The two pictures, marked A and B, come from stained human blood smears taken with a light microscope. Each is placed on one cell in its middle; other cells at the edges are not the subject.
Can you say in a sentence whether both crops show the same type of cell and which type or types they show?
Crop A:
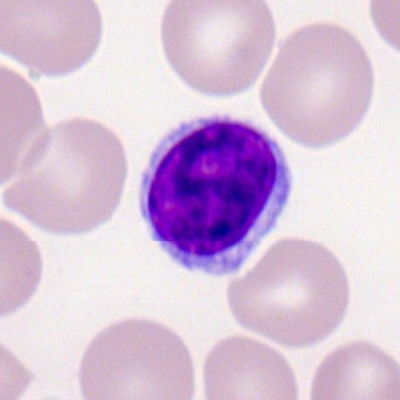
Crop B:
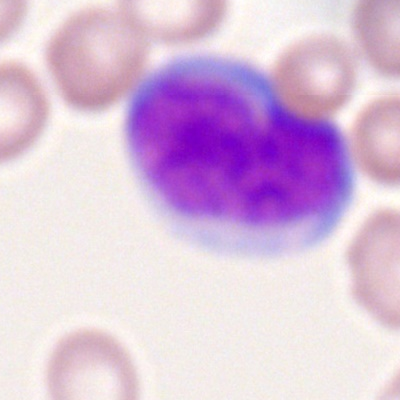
No, it is crop A that shows a lymphocyte, and crop B shows a blast.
